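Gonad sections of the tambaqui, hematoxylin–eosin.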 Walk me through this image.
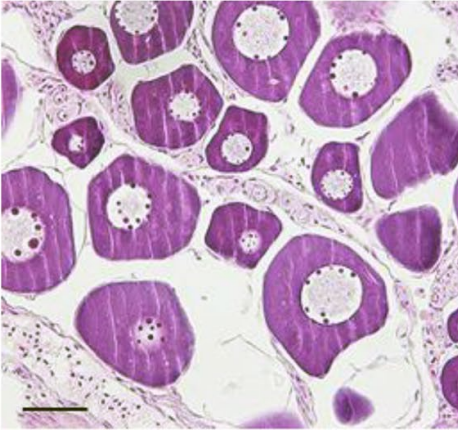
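This section shows previtellogenic oocytes of different sizes packed in the ovary. Each oocyte has a broad, evenly pink-purple cytoplasm, crossed by pale streaks that are cutting artefacts. Between the oocytes runs a thin stroma of small flattened cells and loose connective tissue, with clusters of small cells in the spaces between the larger oocytes.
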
